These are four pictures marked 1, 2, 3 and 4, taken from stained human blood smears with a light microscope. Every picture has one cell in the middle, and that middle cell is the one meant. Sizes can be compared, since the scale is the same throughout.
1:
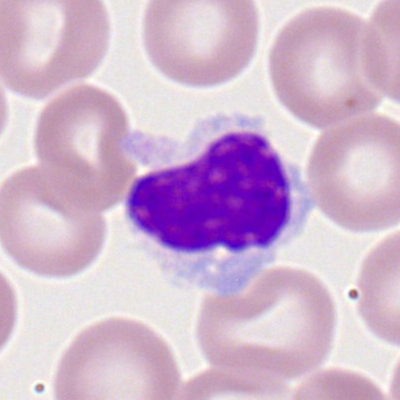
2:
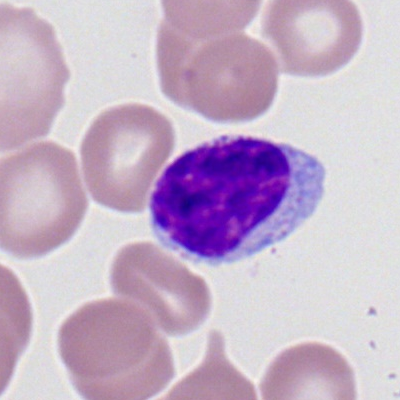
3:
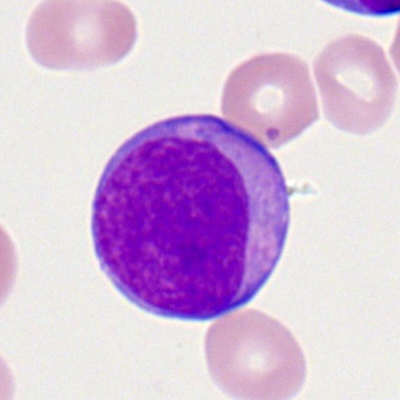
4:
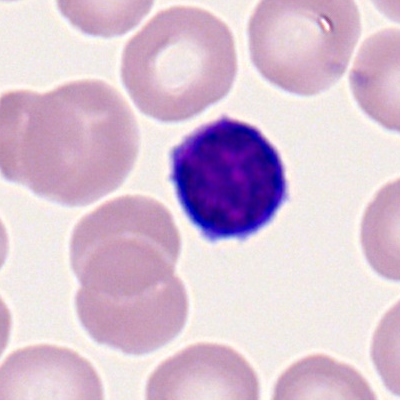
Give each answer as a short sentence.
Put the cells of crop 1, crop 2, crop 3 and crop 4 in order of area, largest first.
Going down, they run 3, 1, 2, 4.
